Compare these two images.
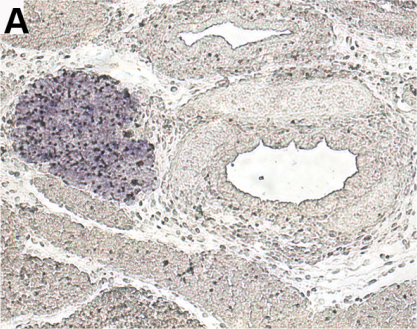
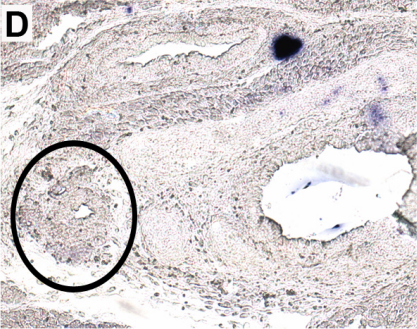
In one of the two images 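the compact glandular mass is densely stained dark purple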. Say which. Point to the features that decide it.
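The first image. Second image: the encircled small cell cluster is only faintly stained. First image: the rounded gland is filled with dense dark purple granular stain.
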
